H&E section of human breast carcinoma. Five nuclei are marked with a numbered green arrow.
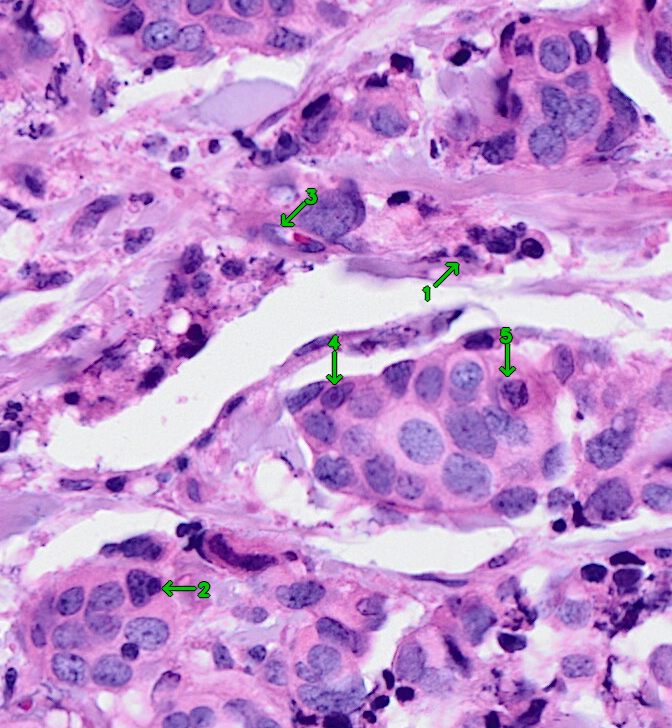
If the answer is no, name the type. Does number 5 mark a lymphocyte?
No, it is a carcinoma cell.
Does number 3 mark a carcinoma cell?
No, it is an endothelial cell.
